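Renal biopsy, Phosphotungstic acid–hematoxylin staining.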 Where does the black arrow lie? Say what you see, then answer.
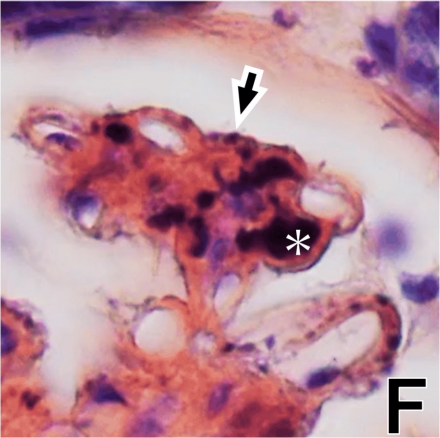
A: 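The arrow points to dark deposits on the outer surface of the capillary loop facing the urinary space. So: subepithelial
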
